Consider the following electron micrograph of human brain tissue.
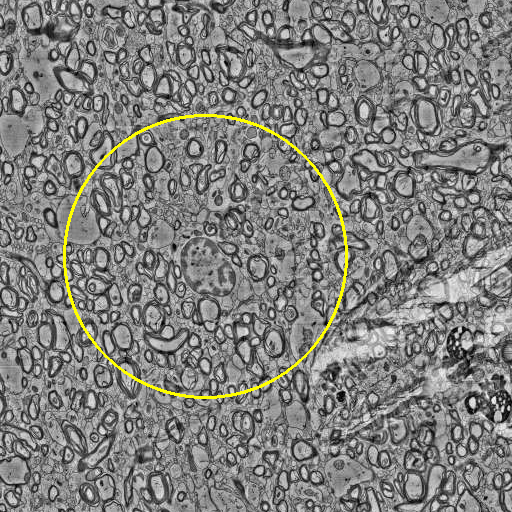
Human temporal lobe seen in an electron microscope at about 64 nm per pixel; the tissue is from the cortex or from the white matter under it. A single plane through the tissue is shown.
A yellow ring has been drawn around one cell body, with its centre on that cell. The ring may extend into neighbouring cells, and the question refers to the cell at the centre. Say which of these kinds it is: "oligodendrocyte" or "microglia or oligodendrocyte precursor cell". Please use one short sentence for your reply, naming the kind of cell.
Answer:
The centre of the ring falls on a microglial cell or oligodendrocyte precursor cell.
